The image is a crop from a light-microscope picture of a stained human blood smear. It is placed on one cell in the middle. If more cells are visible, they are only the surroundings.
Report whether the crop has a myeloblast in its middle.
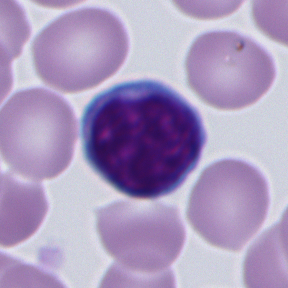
no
